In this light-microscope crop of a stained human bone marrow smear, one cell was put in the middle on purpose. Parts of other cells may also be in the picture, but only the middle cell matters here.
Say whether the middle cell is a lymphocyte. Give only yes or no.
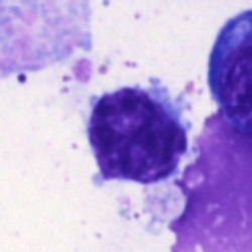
yes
